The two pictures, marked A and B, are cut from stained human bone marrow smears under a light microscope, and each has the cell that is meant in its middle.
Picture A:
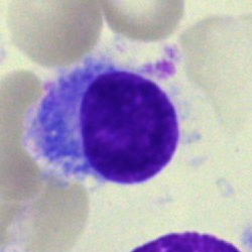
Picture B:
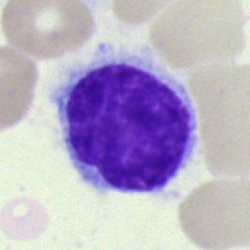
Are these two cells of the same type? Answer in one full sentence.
Yes, both cells are hairy cells.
